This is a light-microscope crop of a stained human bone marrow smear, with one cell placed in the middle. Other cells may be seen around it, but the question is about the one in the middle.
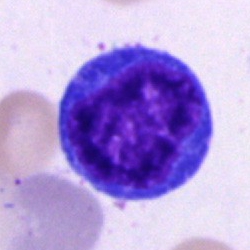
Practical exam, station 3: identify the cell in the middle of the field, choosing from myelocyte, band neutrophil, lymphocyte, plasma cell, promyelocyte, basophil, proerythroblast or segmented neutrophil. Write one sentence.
Whatever else lies nearby, the middle cell is a proerythroblast.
